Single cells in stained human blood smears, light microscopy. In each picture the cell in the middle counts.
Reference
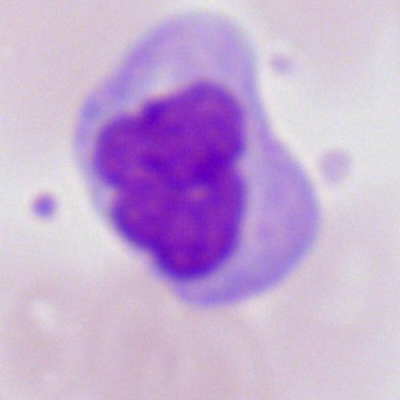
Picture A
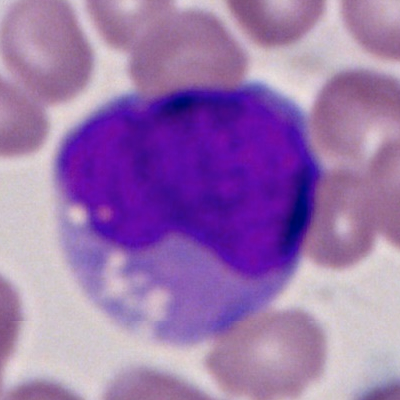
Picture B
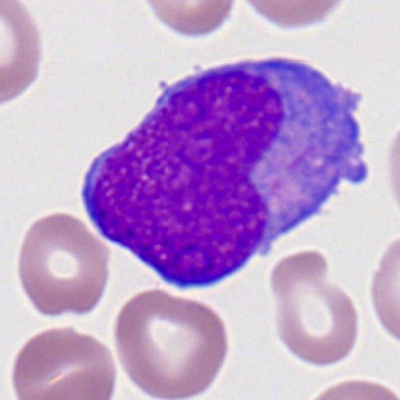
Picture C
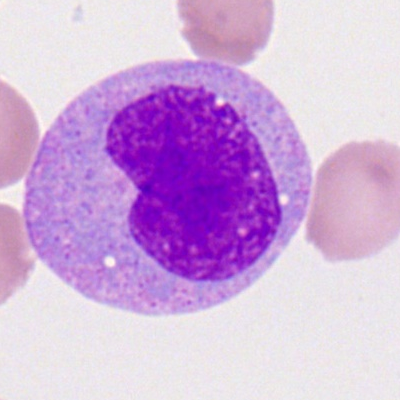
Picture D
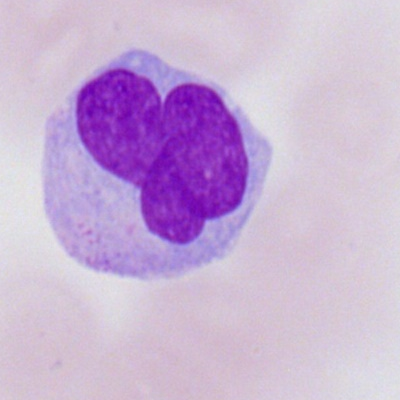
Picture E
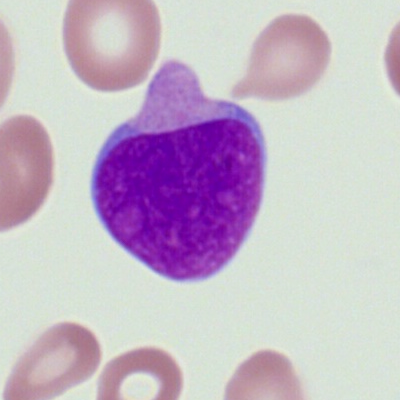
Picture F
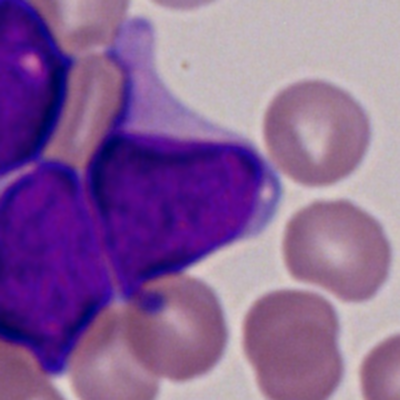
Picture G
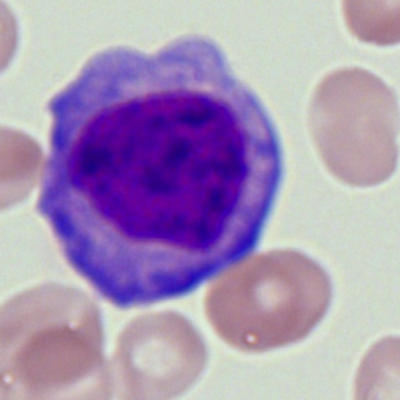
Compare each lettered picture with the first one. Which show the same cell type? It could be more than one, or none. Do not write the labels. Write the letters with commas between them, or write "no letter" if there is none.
C, D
